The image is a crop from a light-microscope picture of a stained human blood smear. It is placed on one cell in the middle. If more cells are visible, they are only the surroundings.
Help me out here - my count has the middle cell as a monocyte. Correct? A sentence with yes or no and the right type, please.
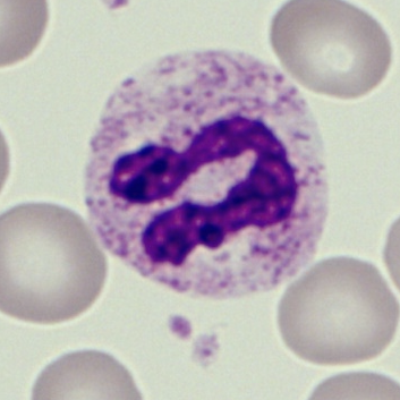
No, the cell placed in the centre is a segmented neutrophil and is not a monocyte.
